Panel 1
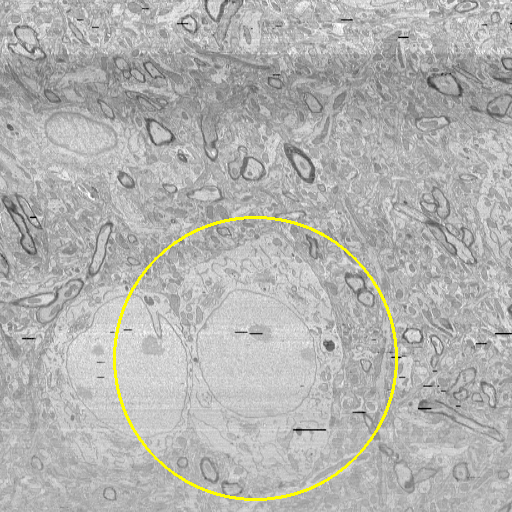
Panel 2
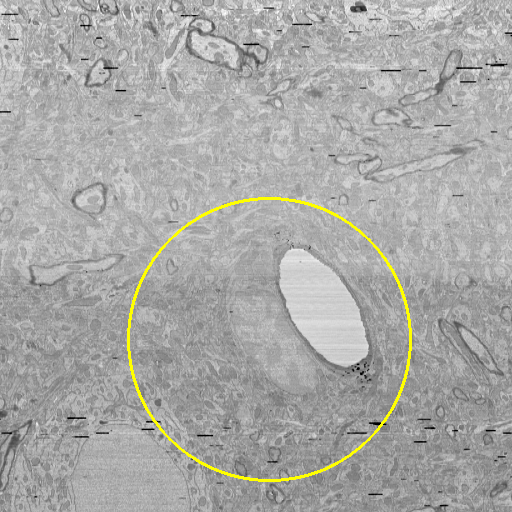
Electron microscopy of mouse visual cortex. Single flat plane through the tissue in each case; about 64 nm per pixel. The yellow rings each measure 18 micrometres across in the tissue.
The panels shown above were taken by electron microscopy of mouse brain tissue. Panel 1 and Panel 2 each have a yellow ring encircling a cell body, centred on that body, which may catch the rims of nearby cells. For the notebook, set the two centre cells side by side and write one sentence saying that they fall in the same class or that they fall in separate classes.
The centred cells of Panel 1 and Panel 2 fall in separate classes.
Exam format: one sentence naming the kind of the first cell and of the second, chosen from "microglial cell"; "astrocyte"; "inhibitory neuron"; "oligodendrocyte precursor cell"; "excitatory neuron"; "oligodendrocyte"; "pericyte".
The first picture's cell is an excitatory neuron, and the second picture's cell is an oligodendrocyte.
